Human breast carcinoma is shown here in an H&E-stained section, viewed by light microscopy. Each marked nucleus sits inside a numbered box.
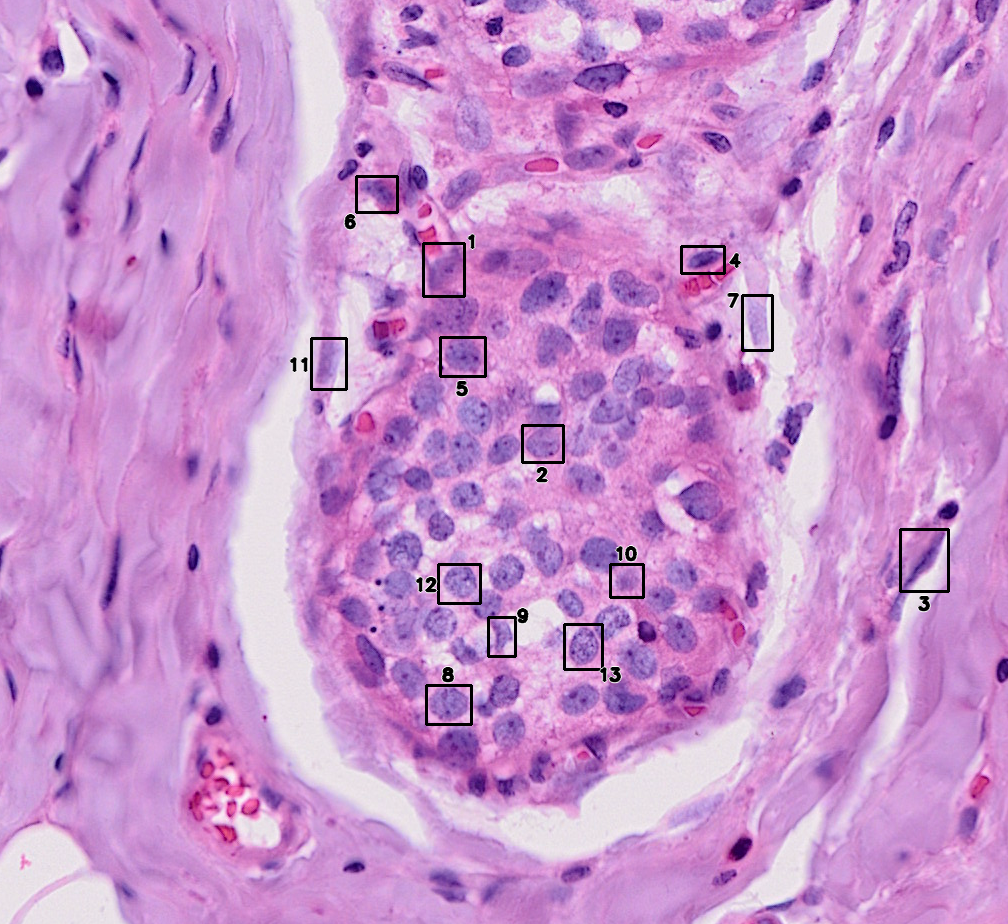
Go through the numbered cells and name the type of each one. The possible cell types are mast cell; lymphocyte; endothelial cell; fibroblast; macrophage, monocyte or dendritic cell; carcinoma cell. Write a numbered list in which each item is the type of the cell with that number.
1. endothelial cell
2. carcinoma cell
3. fibroblast
4. endothelial cell
5. carcinoma cell
6. mast cell
7. fibroblast
8. carcinoma cell
9. carcinoma cell
10. carcinoma cell
11. fibroblast
12. carcinoma cell
13. carcinoma cell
